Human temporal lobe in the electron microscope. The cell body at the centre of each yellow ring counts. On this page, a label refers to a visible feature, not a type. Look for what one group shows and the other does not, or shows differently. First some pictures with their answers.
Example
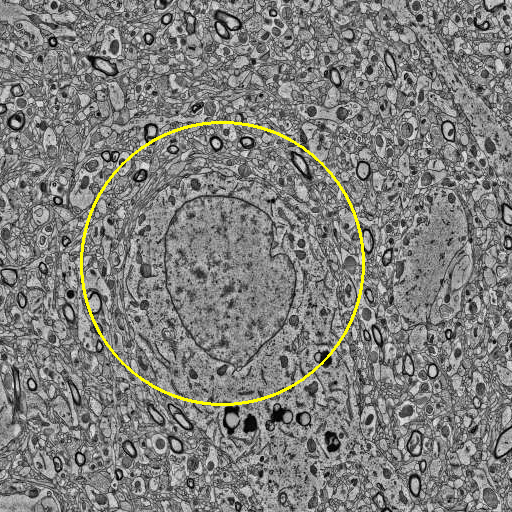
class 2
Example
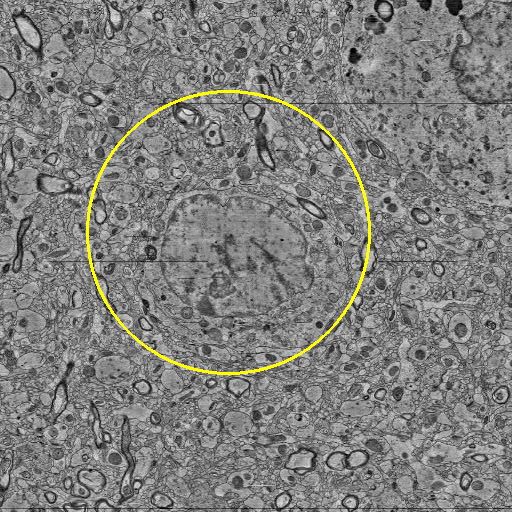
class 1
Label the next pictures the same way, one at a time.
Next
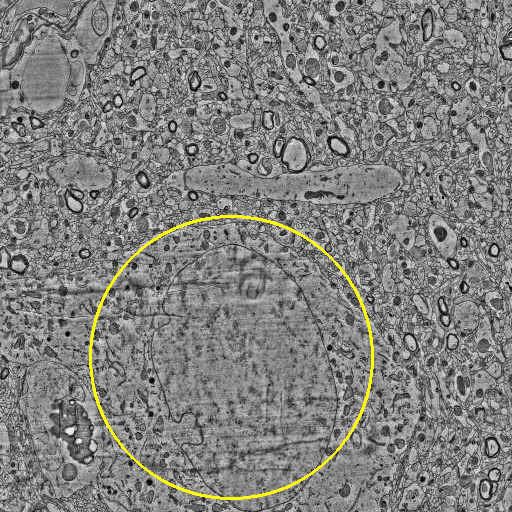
class 2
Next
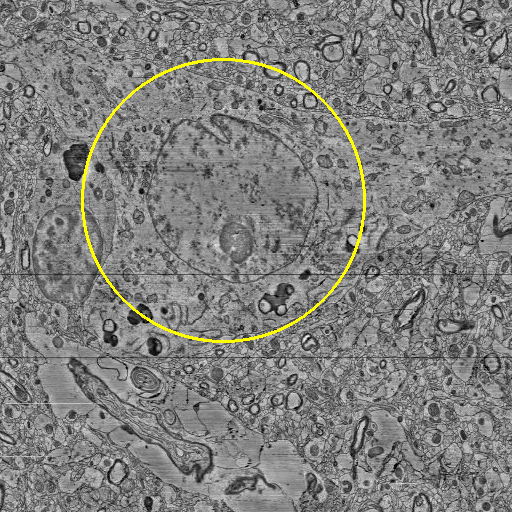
class 2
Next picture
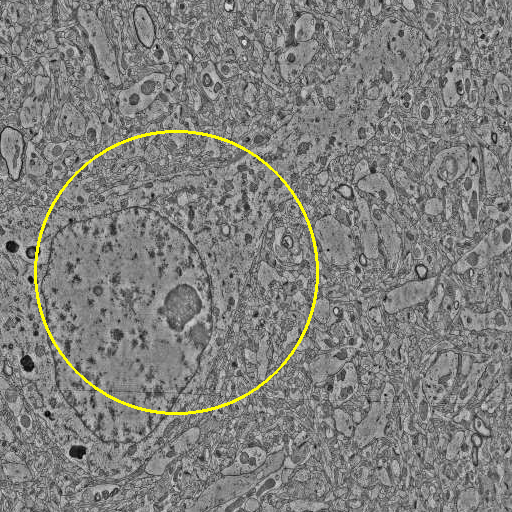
class 1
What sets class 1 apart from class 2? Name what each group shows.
In class 1: smooth nuclear envelopes without deep folds. In class 2: deeply folded or indented nuclear envelopes.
